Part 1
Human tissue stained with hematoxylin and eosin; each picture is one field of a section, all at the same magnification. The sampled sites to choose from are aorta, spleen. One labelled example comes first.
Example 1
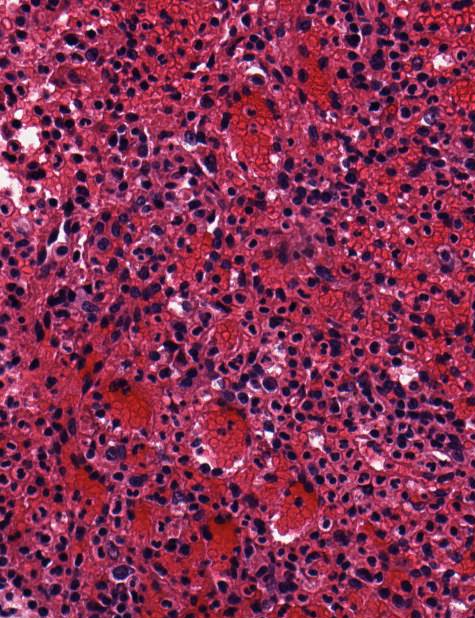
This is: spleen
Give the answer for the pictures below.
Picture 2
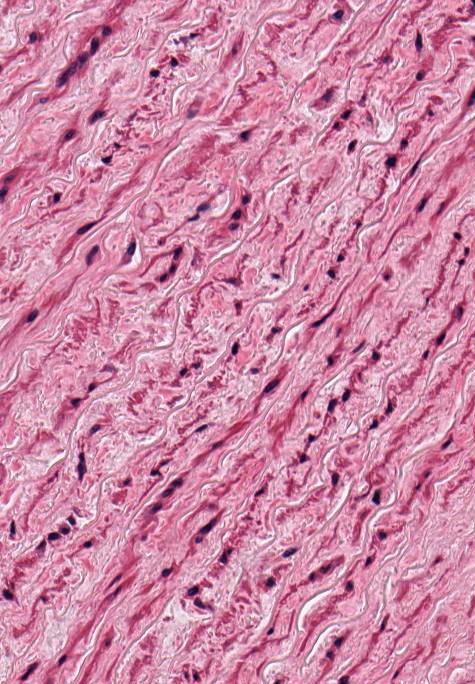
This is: aorta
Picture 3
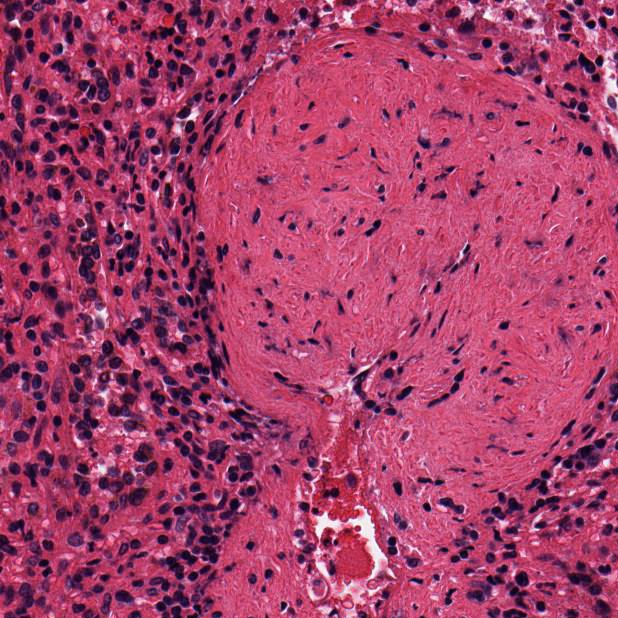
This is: spleen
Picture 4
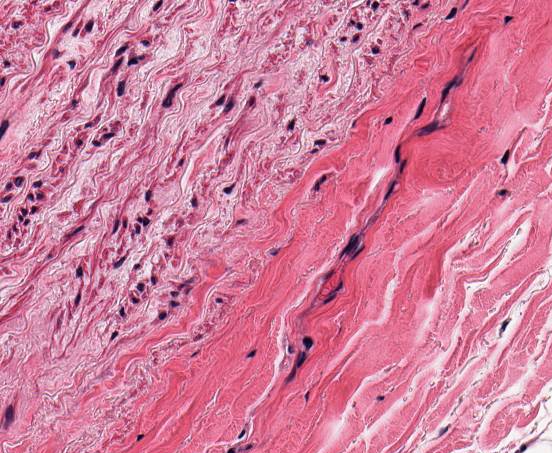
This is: aorta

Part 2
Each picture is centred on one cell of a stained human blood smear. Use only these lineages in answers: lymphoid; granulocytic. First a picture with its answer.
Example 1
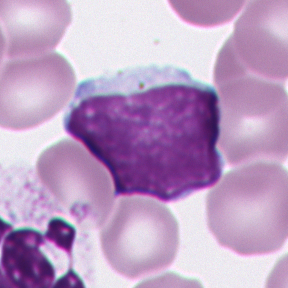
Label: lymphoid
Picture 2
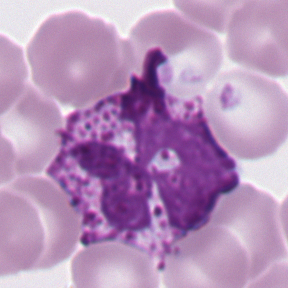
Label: granulocytic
